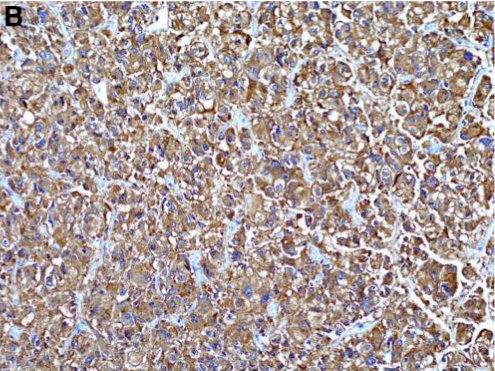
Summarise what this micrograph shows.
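Tumor cells in nests show diffuse brown granular staining of the cytoplasm, with blue round nuclei left unstained. Thin pale-blue septa run between the cell nests.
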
